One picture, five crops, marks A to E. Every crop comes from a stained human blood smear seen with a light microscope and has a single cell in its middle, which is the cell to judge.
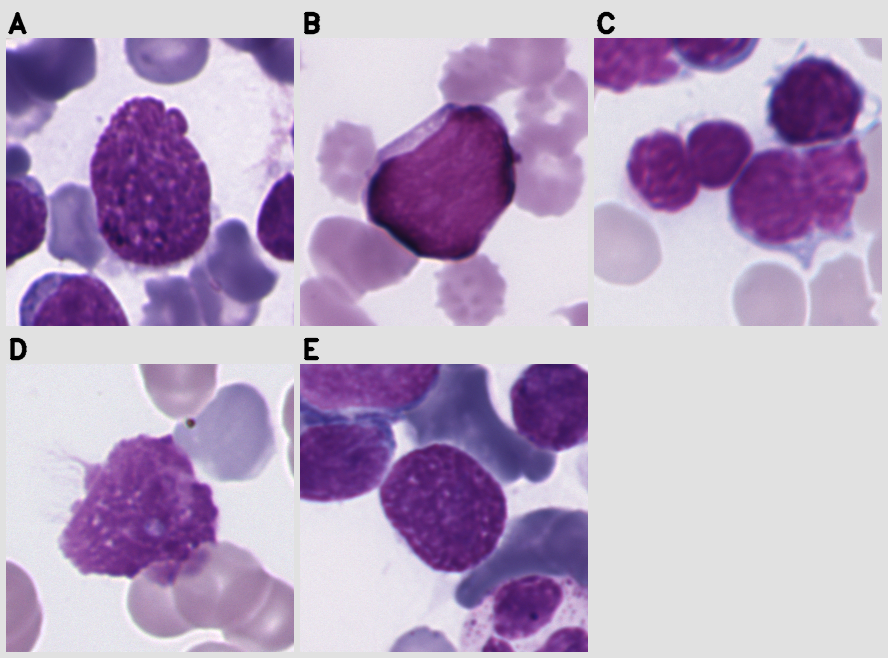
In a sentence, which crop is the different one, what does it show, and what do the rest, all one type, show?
Of these crops, only crop D is a smudge cell; the others are myeloblasts.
